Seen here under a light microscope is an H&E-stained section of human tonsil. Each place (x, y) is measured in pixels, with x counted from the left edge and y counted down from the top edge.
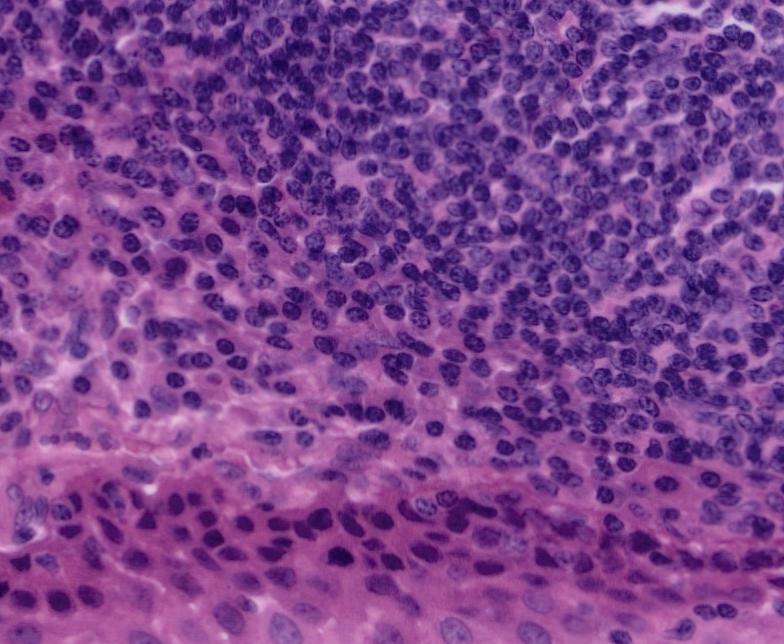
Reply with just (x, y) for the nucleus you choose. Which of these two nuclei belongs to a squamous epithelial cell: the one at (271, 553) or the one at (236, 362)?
(271, 553)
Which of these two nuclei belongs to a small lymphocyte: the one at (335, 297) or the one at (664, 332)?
(664, 332)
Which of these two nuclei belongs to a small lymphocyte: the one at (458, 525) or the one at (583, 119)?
(583, 119)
